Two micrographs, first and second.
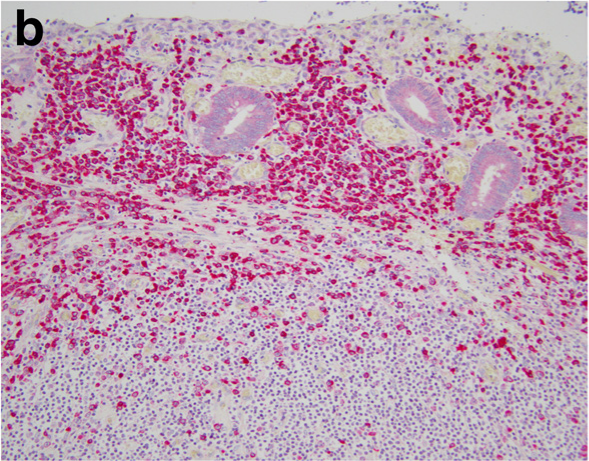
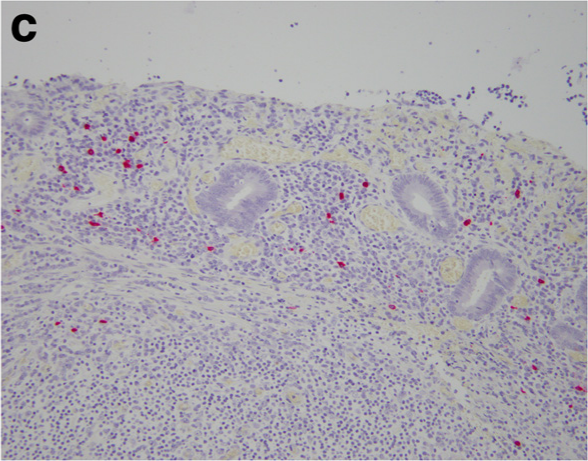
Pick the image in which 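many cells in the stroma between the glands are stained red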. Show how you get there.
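Second image: only a few isolated red cells among blue-stained tissue. First image: dense sheets of red-stained cells fill the stroma around the glands.
Answer: the first image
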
